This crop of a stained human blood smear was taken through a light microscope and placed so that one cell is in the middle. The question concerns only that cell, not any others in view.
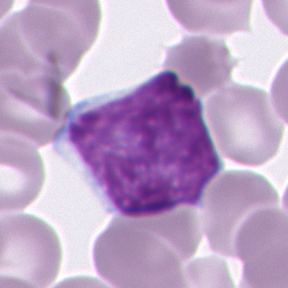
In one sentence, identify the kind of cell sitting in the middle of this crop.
This particular crop is centered on a lymphocyte.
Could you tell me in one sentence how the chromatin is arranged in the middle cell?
There is no coarse clumping; the chromatin stays fine throughout.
